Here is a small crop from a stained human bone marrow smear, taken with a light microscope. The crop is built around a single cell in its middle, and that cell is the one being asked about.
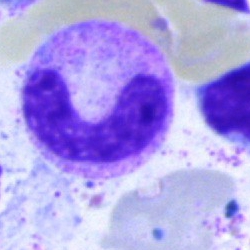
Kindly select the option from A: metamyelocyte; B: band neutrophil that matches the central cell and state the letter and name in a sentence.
Option B is right, the centrally situated cell being a band neutrophil.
